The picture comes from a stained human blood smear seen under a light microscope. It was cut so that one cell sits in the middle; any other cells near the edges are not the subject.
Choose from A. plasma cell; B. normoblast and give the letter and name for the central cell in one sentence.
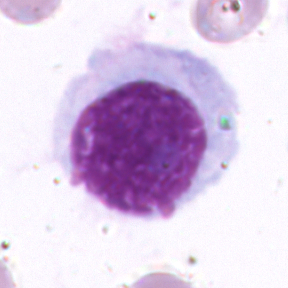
Of the options given, A is correct, the central cell being a plasma cell.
